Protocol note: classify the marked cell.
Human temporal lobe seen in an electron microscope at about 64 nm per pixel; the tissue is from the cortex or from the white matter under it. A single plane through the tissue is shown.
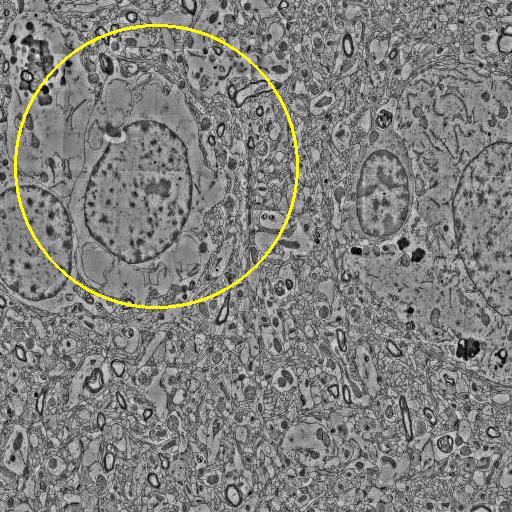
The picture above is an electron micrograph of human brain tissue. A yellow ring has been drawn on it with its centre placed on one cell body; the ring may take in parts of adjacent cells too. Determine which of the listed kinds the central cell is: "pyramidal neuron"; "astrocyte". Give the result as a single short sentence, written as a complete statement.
The central cell is an astrocyte.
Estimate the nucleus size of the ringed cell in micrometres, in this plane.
About 9 micrometres by about 7 micrometres in this plane.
